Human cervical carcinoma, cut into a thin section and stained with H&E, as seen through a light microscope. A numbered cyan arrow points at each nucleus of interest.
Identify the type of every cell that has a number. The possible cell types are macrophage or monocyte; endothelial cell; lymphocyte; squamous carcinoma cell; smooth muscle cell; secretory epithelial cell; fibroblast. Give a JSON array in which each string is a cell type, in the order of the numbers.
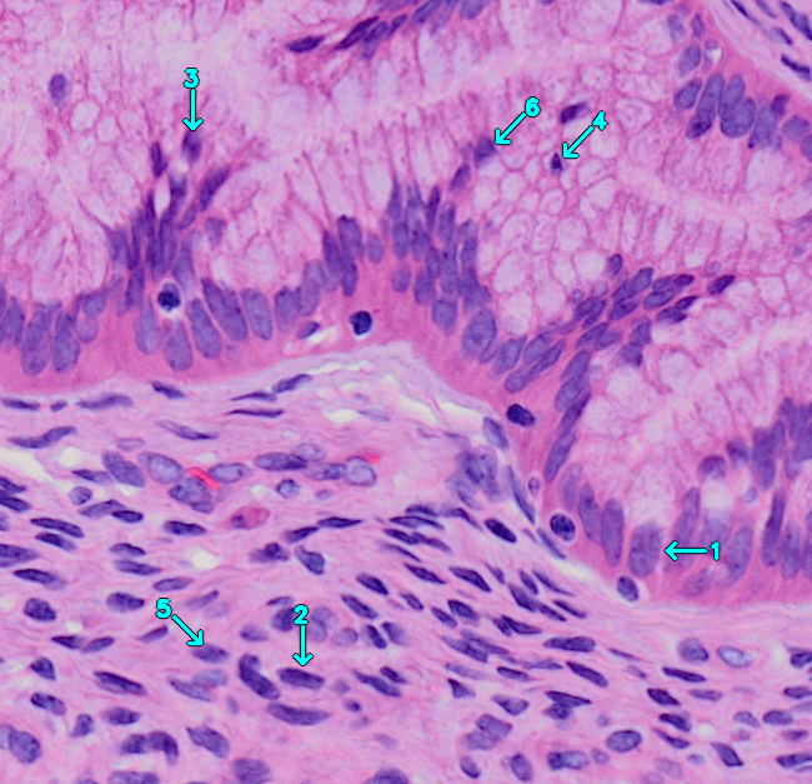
["secretory epithelial cell", "fibroblast", "secretory epithelial cell", "secretory epithelial cell", "fibroblast", "secretory epithelial cell"]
